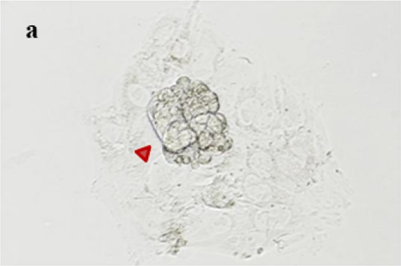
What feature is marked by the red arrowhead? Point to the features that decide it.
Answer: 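A compact, raised cluster of small rounded cells lies beside the arrowhead. The cluster sits in the middle of a flat sheet of large spread cells.
Answer: inner cell mass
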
